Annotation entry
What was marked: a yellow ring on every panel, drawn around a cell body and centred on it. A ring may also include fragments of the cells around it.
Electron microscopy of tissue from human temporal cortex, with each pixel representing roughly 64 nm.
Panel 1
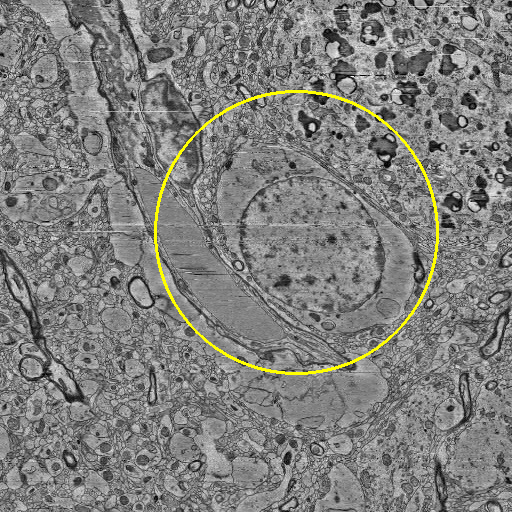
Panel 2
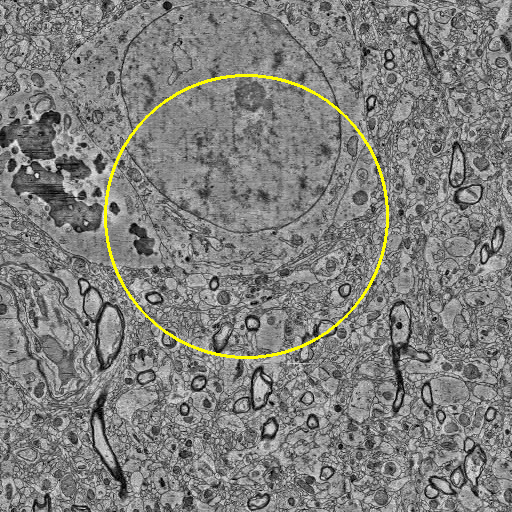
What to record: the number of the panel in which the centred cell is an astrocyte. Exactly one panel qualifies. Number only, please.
1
